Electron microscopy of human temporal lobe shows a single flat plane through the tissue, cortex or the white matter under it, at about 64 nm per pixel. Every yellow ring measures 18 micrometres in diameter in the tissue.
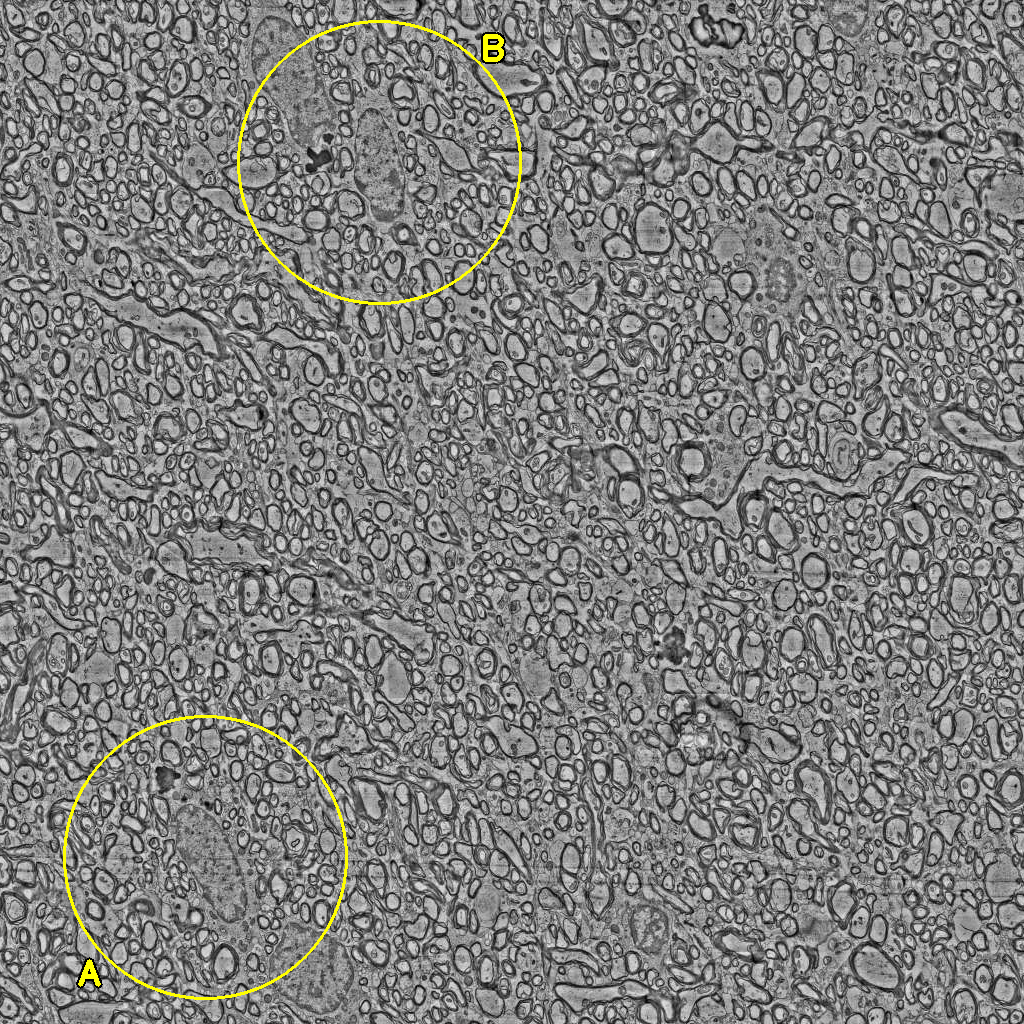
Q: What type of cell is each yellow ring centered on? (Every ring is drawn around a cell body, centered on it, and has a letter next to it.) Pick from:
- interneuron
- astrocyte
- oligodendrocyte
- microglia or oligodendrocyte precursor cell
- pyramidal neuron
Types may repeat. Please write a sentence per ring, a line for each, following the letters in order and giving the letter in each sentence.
The cell body centered in ring A belongs to an oligodendrocyte.
The cell body centered in ring B belongs to a microglial cell or oligodendrocyte precursor cell.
